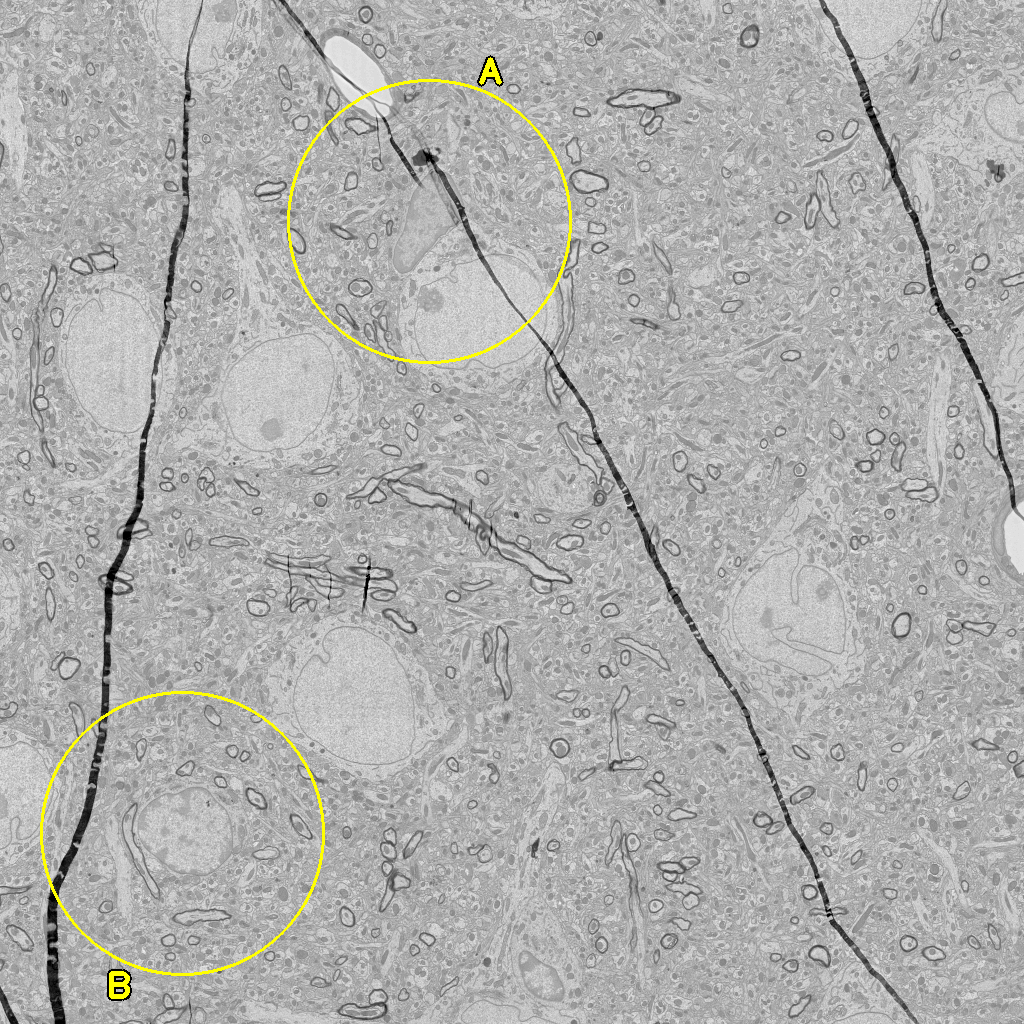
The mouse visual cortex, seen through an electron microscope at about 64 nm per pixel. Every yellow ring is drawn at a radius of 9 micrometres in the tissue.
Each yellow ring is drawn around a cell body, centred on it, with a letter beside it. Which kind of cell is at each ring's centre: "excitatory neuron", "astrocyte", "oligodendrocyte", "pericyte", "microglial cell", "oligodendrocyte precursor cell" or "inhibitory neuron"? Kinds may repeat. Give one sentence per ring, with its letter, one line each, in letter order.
Ring A is centred on a microglial cell.
Ring B is centred on an oligodendrocyte.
